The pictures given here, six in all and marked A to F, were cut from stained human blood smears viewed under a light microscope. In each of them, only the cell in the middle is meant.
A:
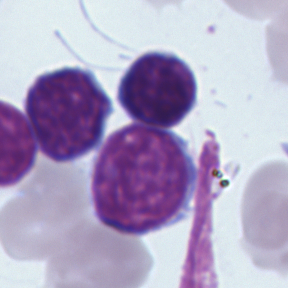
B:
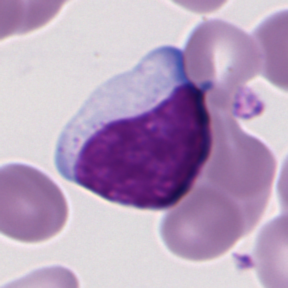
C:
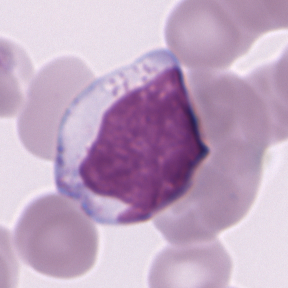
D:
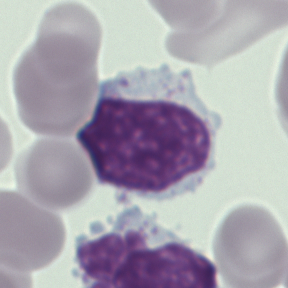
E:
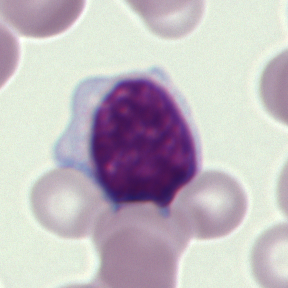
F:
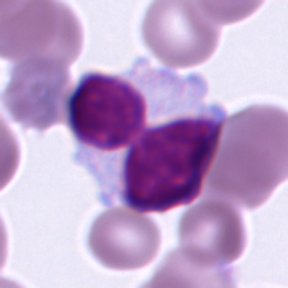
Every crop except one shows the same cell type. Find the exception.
A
